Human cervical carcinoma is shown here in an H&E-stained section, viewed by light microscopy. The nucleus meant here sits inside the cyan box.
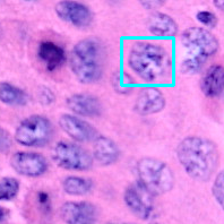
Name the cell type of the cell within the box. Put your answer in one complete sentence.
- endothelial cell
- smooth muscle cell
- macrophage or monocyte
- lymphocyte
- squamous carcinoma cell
For cell typing purposes, the cell within the box is a squamous carcinoma cell.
